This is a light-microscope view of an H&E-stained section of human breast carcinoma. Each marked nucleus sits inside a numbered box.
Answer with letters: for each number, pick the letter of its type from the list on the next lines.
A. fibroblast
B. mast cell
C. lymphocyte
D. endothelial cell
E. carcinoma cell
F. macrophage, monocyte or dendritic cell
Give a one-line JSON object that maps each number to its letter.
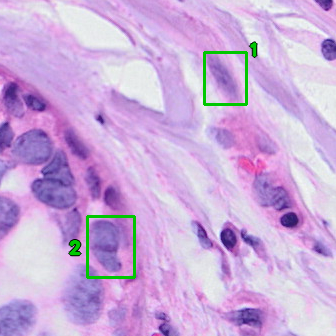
{"1": "A", "2": "E"}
